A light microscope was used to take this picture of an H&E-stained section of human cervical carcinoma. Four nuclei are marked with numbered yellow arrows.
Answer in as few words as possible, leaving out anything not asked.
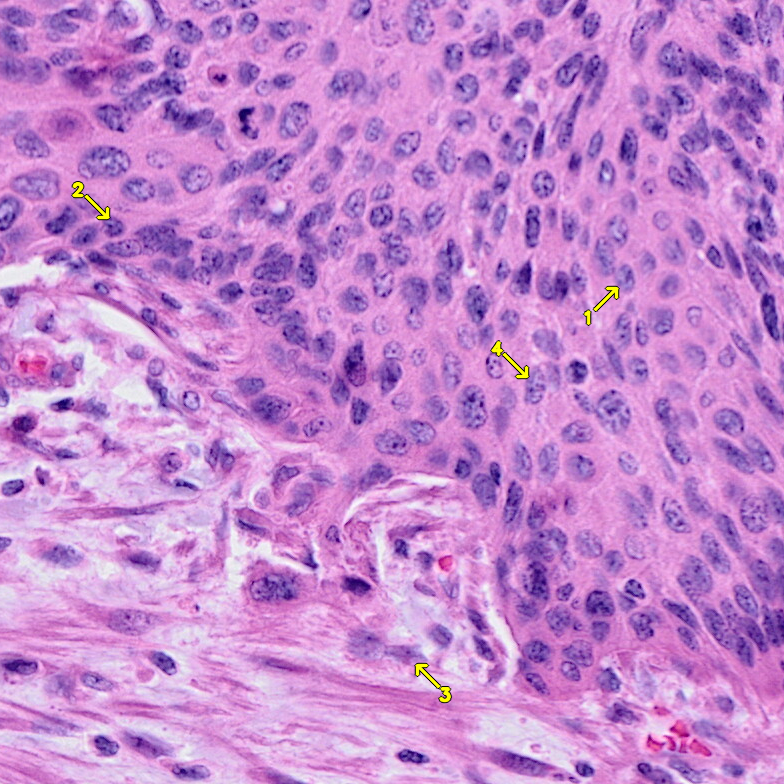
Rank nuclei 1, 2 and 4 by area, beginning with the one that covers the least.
2, 1, 4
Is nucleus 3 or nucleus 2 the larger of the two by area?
3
